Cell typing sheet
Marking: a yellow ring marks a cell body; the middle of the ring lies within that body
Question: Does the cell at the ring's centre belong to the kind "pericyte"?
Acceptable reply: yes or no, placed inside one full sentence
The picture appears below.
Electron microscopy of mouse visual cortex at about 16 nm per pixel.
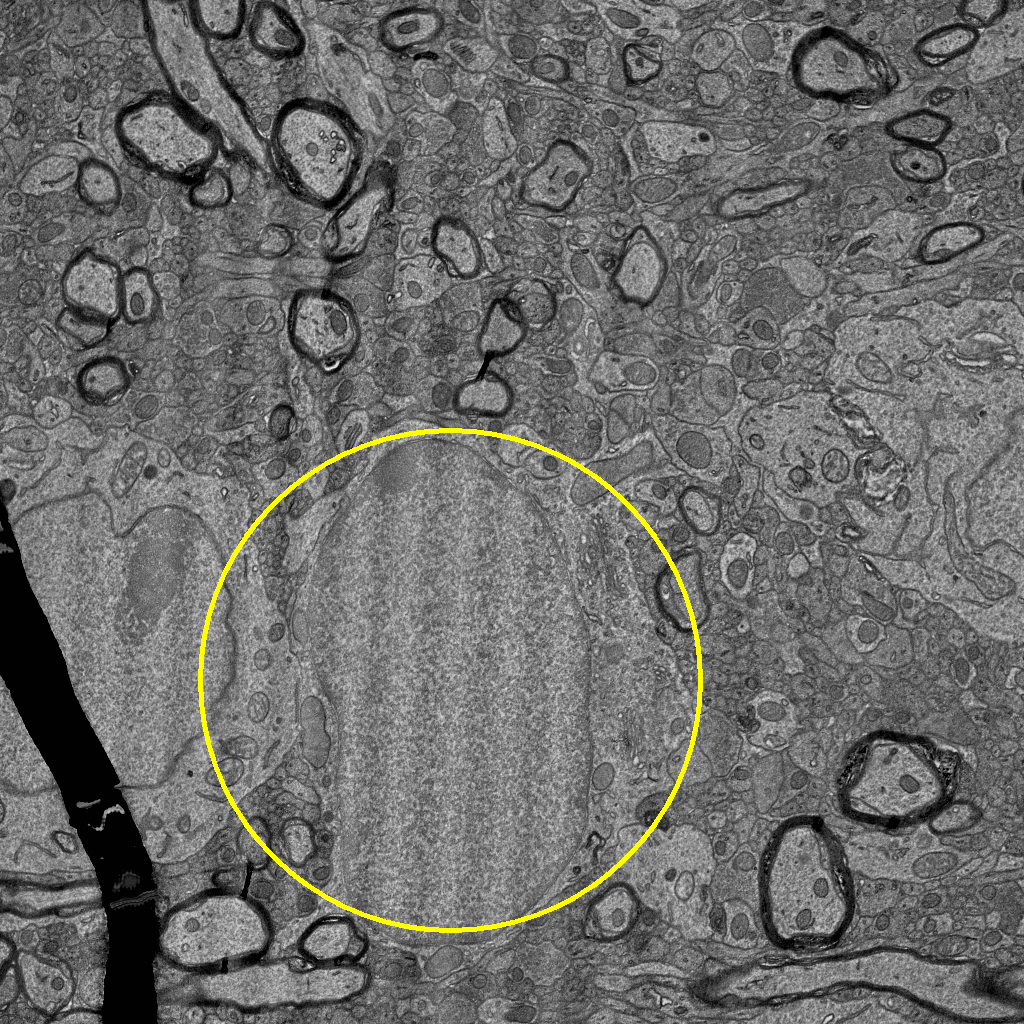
No, the cell at the centre of the ring belongs to a different kind.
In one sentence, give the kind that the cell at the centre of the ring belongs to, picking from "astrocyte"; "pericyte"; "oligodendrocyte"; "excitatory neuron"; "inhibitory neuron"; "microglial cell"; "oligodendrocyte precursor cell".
This picture has an astrocyte at the centre of its ring.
